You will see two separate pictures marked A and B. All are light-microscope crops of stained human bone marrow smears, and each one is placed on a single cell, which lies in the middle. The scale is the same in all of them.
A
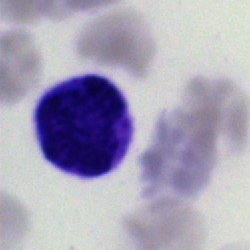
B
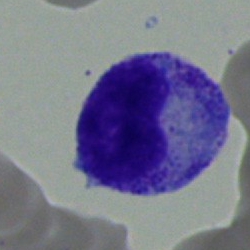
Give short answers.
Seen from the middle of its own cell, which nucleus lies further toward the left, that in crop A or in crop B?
B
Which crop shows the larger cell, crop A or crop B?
B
